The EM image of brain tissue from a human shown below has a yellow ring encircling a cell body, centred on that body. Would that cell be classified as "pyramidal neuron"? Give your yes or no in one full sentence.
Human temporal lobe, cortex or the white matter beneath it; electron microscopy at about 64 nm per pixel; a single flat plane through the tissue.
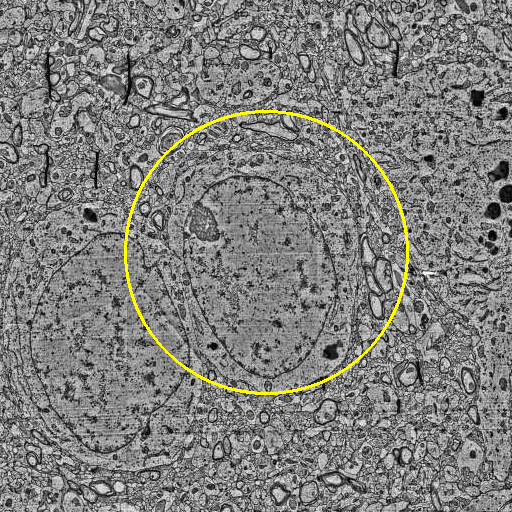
Yes, the cell at the centre of the ring in the picture falls in that class.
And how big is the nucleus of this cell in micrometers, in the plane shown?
In this plane the nucleus spans approximately 13 by 10 micrometers.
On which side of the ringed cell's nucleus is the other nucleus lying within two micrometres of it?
That other nucleus lies to the left of it.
